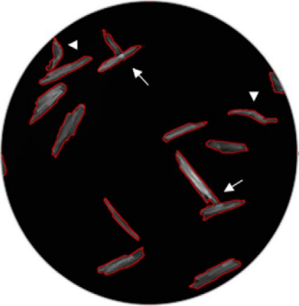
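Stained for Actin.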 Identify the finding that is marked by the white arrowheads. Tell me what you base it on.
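Cells with altered morphology. Cells beside the arrowheads are smaller and fainter than the other rod-shaped cells. Their outlines are irregular rather than rectangular.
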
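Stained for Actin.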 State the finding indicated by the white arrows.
Touching/overlaying cells.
